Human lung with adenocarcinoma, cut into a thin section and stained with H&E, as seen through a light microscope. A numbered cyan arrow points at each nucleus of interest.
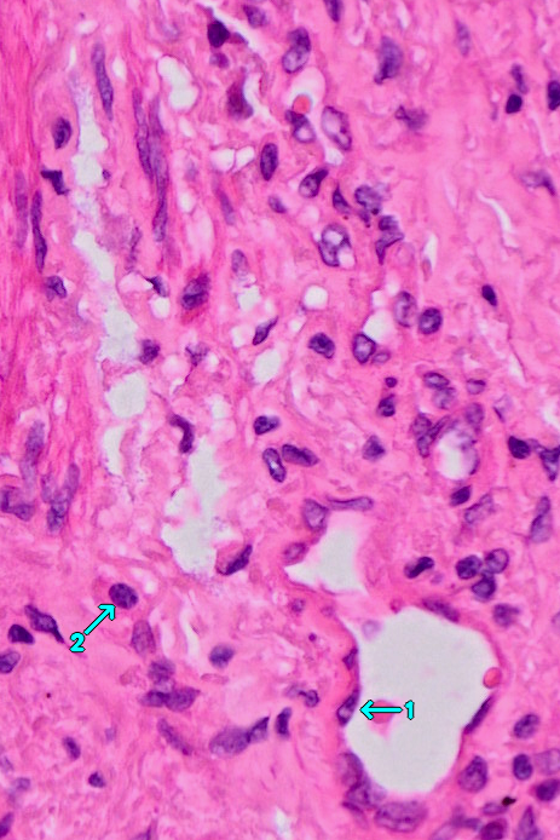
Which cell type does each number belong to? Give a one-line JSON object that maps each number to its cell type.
{"1": "endothelial cell", "2": "mast cell"}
